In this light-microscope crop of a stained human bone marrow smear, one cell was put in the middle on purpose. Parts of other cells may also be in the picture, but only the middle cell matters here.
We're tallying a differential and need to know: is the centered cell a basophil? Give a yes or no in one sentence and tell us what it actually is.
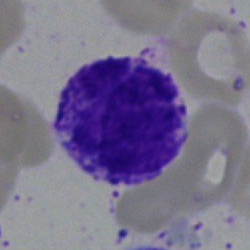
Yes, the cell found in the middle is a basophil.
